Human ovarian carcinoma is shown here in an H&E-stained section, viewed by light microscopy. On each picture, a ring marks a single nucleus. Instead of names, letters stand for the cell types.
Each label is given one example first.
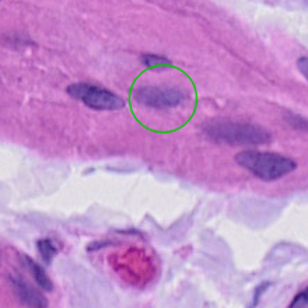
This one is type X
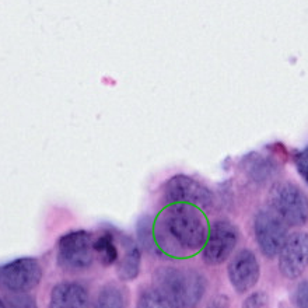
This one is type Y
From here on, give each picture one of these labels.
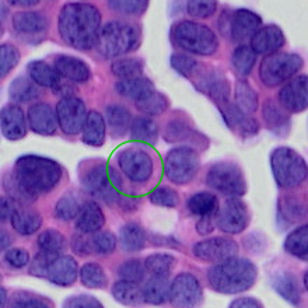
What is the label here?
type Y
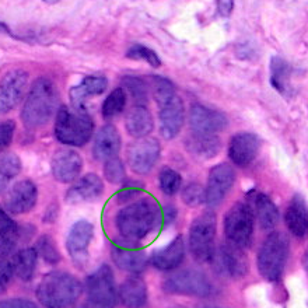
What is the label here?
type Y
